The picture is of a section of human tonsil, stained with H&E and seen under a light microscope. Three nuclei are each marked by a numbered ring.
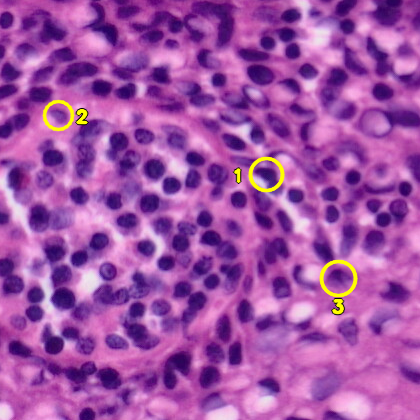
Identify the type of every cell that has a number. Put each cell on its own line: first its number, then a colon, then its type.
1: squamous epithelial cell
2: endothelial cell
3: squamous epithelial cell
